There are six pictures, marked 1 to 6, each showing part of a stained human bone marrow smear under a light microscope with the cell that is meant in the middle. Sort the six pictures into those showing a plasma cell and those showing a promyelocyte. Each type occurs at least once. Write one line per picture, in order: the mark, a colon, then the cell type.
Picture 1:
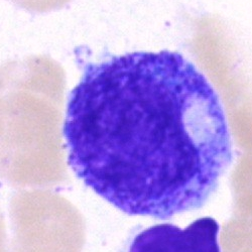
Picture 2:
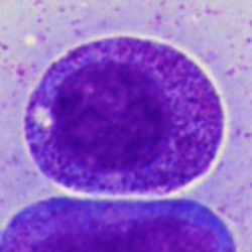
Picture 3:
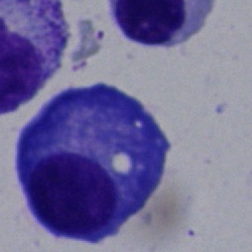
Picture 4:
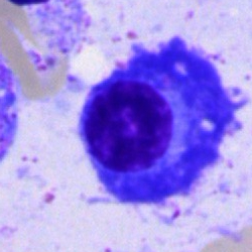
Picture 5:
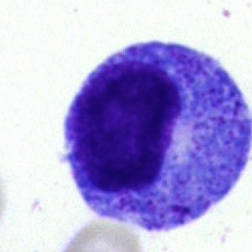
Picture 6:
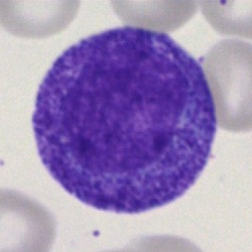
1: promyelocyte
2: promyelocyte
3: plasma cell
4: plasma cell
5: promyelocyte
6: promyelocyte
